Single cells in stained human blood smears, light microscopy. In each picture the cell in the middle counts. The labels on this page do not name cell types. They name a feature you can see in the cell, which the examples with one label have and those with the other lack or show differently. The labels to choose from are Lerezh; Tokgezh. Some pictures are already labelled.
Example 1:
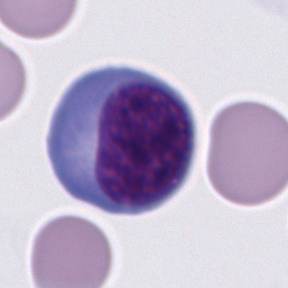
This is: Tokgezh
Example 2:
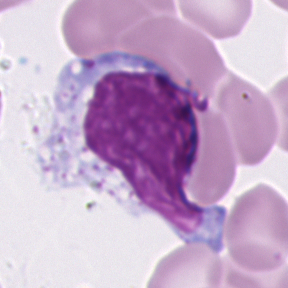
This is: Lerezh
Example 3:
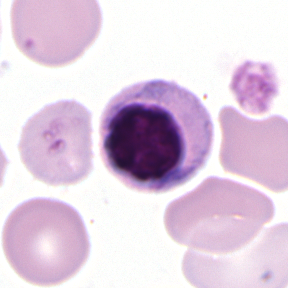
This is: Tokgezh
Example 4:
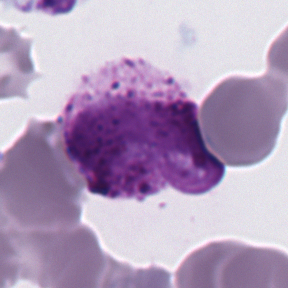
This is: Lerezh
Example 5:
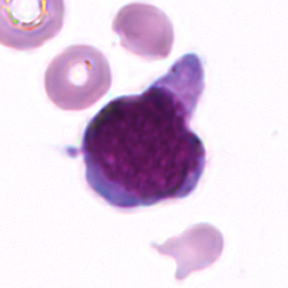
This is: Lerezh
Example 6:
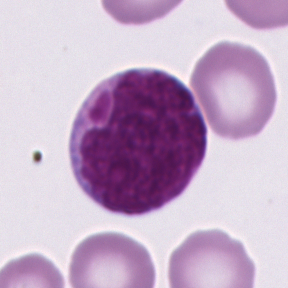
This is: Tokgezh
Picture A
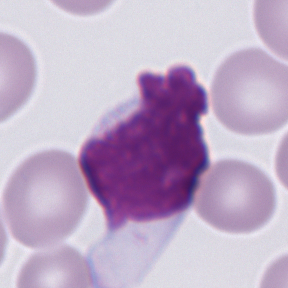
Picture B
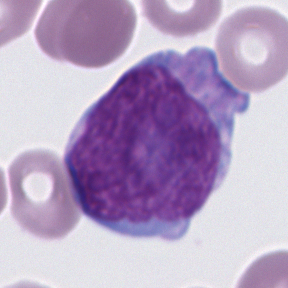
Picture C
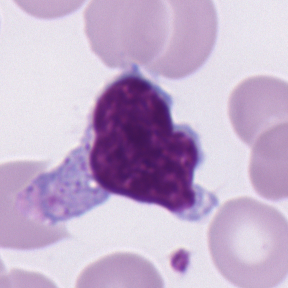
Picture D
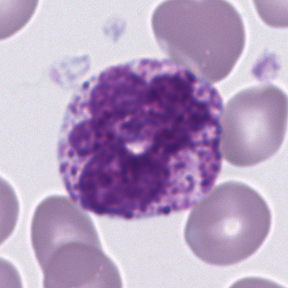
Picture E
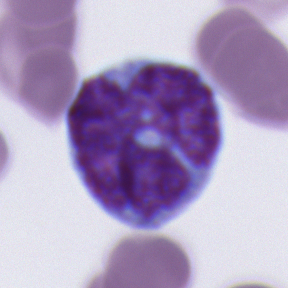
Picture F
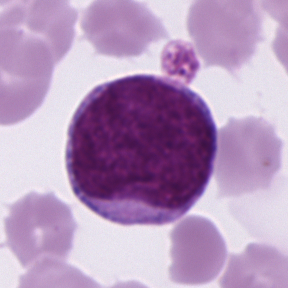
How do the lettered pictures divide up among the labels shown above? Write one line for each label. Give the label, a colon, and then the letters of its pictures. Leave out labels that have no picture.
Lerezh: A, B, C
Tokgezh: D, E, F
